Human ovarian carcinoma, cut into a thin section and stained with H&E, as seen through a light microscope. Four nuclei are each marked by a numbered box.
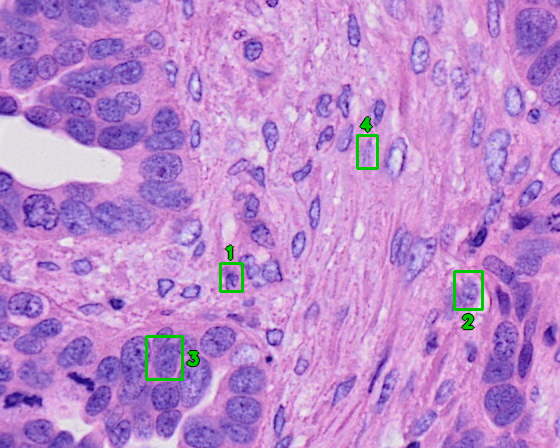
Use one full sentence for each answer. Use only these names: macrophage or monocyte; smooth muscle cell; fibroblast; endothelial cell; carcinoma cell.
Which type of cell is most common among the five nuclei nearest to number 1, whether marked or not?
Endothelial cells make up most of the five nuclei closest to number 1.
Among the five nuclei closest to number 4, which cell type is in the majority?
Fibroblasts account for more than half of the five nuclei nearest to number 4.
